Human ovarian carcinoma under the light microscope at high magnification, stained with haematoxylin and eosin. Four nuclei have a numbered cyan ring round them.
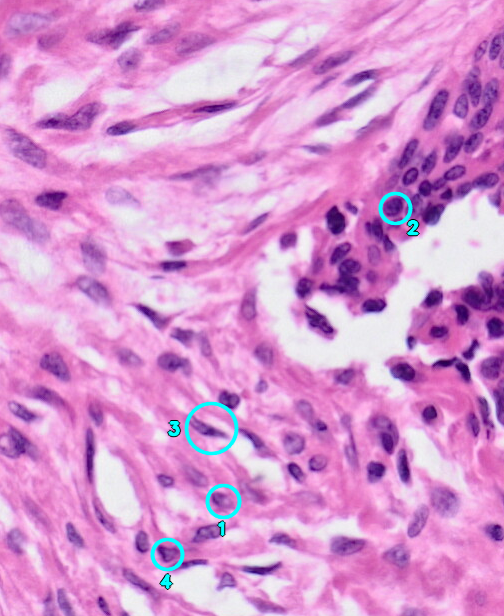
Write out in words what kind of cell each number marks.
Cell 1 is a fibroblast, cell 2 is a macrophage or monocyte, cell 3 is a fibroblast and cell 4 is a fibroblast.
